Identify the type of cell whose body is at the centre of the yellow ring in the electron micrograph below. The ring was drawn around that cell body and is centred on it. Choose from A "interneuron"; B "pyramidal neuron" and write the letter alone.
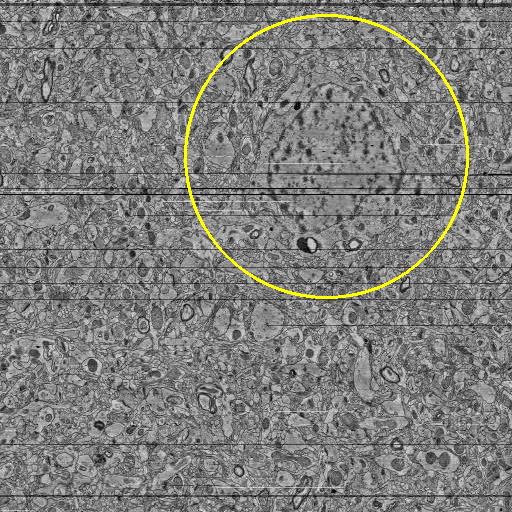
A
